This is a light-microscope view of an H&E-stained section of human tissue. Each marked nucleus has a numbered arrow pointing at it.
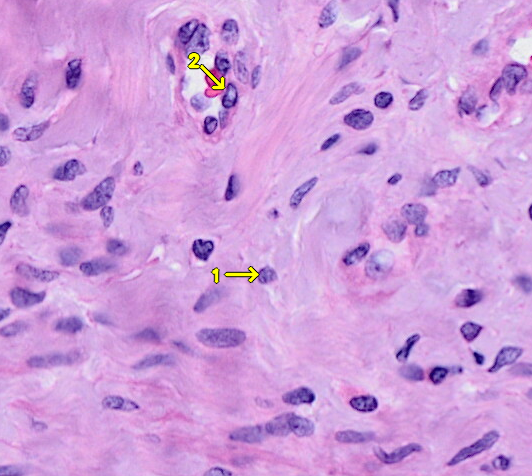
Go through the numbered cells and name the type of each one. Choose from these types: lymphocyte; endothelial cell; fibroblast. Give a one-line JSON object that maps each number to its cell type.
{"1": "fibroblast", "2": "endothelial cell"}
